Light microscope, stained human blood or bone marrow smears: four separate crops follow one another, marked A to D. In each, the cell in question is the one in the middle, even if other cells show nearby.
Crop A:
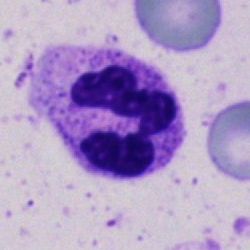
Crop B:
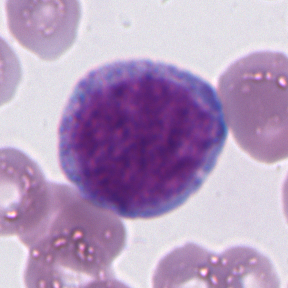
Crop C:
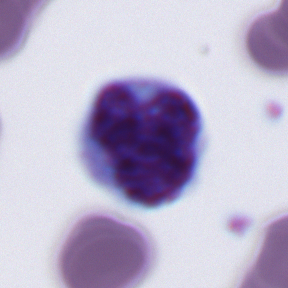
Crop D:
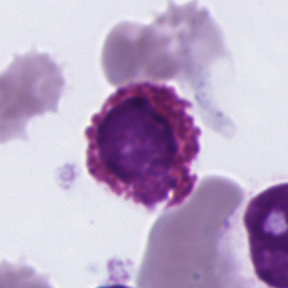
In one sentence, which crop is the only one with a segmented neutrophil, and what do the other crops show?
In the case of crop A, the cell is a segmented neutrophil, while crop B is a promyelocyte, crop C is a monocyte and crop D is an eosinophil.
